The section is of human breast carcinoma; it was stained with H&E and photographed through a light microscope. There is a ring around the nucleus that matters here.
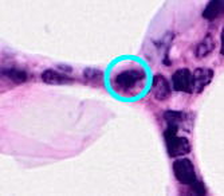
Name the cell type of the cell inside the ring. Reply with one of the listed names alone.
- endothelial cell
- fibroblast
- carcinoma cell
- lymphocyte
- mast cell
lymphocyte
